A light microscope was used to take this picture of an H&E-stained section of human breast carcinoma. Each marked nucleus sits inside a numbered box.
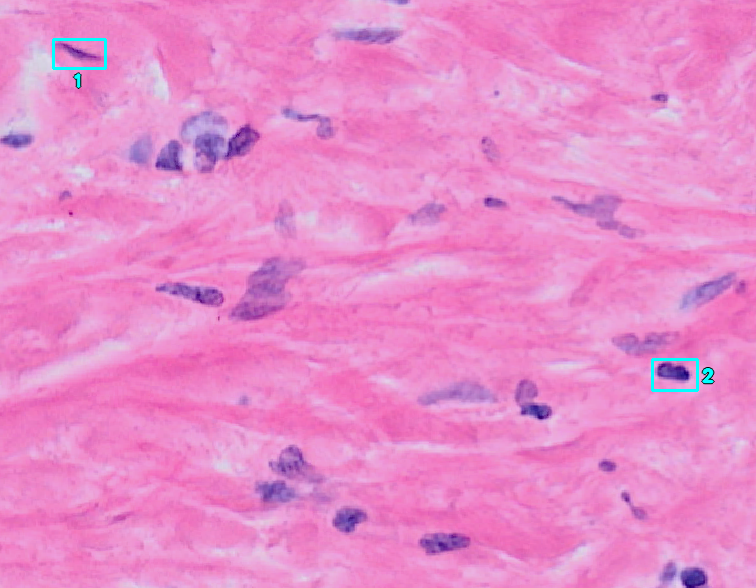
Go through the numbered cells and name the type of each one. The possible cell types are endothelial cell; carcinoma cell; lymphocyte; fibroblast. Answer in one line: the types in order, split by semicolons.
fibroblast; lymphocyte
